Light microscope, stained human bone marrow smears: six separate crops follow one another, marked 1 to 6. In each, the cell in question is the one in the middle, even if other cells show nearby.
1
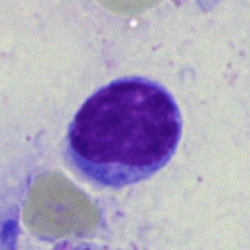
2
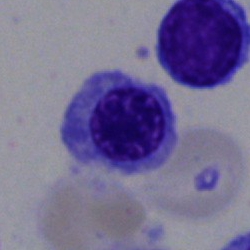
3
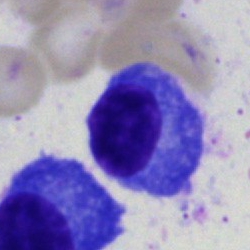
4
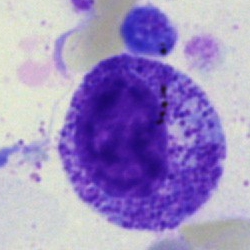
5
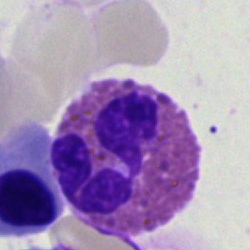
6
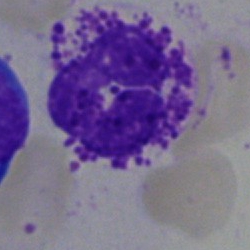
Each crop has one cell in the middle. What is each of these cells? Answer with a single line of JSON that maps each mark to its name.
{"1": "lymphocyte", "2": "erythroblast", "3": "plasma cell", "4": "myelocyte", "5": "eosinophil", "6": "basophil"}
